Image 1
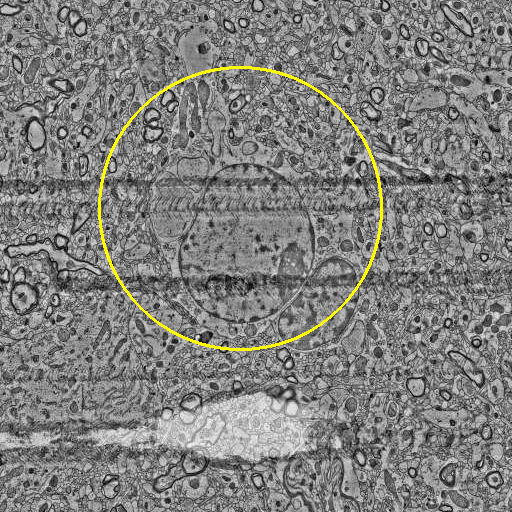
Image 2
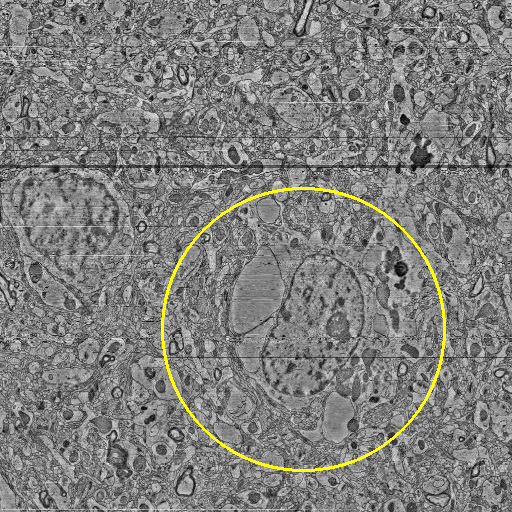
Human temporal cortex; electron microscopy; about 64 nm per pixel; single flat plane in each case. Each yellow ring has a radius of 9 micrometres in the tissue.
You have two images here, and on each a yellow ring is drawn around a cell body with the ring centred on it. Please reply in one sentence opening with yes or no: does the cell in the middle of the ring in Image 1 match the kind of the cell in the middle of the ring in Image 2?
Yes, the two images show cells of one kind at the centres of their rings.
